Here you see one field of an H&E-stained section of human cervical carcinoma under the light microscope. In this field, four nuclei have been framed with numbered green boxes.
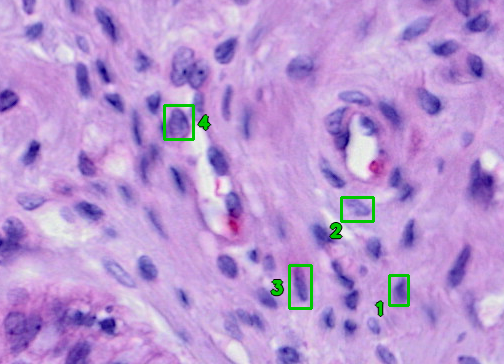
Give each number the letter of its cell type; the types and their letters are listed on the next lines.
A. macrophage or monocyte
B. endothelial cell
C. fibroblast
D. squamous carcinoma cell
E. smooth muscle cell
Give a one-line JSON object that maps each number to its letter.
{"1": "C", "2": "C", "3": "C", "4": "B"}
